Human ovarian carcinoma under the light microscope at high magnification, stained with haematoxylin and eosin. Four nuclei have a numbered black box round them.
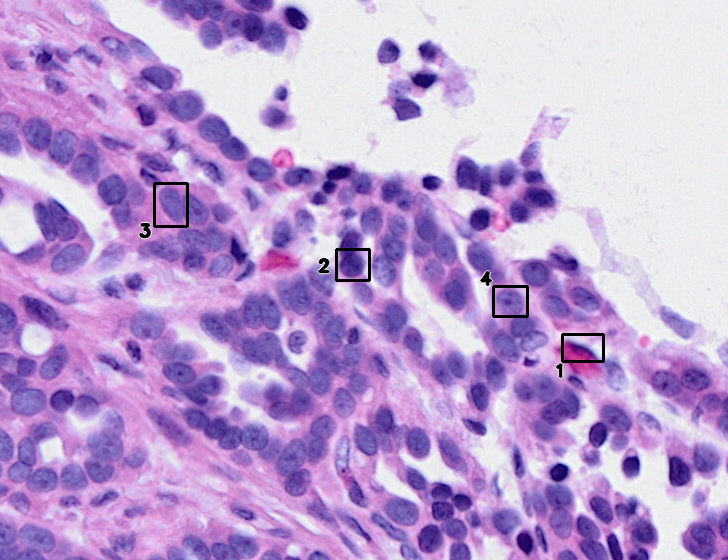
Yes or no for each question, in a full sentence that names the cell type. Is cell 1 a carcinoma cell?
No, cell 1 is not a carcinoma cell. It is an endothelial cell.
